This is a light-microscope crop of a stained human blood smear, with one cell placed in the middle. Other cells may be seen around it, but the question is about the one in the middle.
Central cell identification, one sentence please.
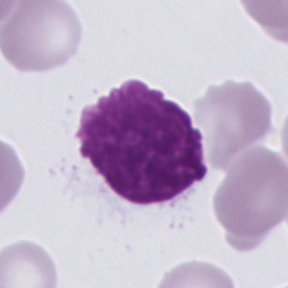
This crop has a smudge cell at its centre.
